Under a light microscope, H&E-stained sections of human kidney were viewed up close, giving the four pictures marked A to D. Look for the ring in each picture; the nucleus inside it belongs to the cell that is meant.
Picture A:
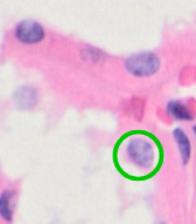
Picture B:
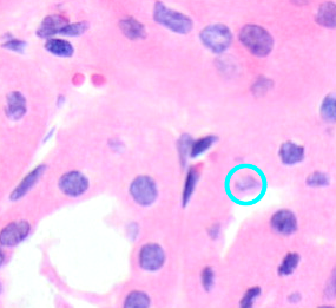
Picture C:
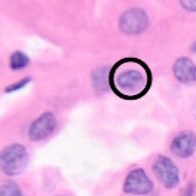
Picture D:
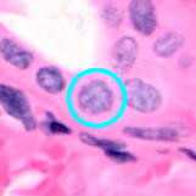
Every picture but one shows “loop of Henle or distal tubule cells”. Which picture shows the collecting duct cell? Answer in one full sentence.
The collecting duct cell is the one in picture D.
